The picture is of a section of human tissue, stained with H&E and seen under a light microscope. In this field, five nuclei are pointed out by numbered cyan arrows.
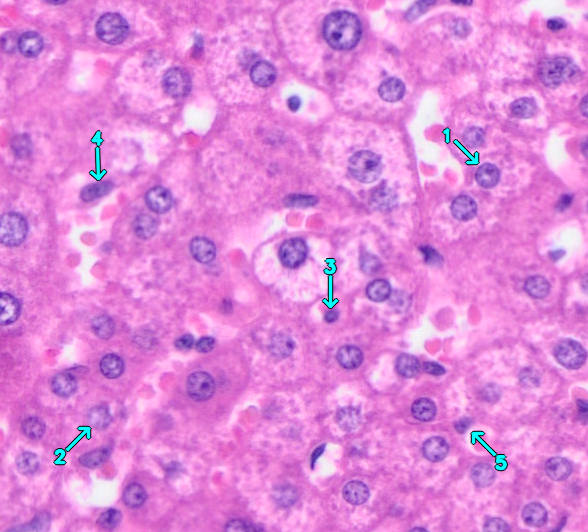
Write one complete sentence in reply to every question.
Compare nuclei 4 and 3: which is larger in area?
At about 3 times the area of nucleus 3, nucleus 4 is the larger of the two.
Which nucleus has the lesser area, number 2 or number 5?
The smaller nucleus is 5, and 2 covers roughly 1.5 times its area.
